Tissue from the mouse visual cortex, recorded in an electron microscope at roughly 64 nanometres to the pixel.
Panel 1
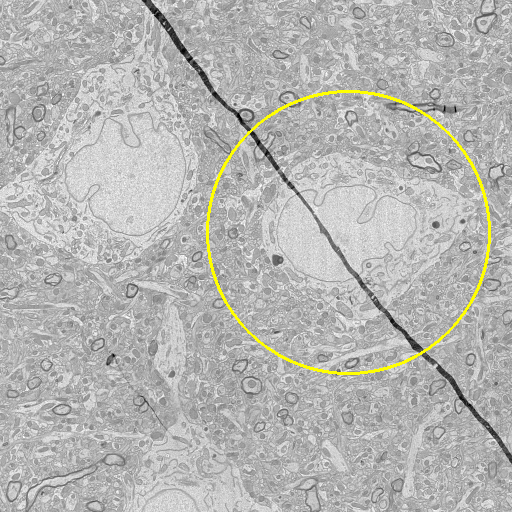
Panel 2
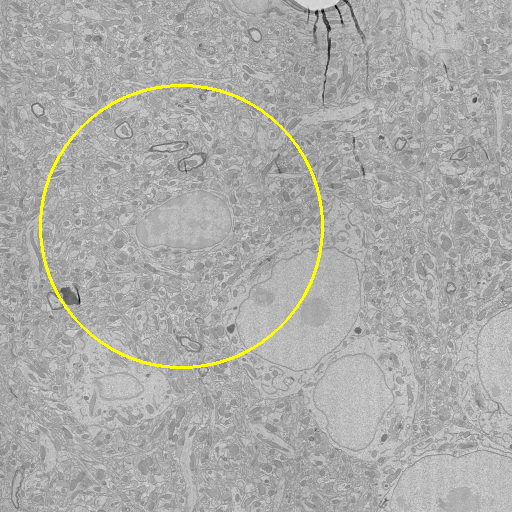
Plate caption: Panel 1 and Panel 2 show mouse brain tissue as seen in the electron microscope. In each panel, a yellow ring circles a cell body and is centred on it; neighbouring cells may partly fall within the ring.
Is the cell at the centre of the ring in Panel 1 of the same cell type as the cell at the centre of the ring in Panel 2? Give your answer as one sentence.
No, the two cells are of two types.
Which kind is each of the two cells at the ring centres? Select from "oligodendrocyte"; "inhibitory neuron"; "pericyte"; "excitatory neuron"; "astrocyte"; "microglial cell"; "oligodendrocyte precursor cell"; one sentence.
The cell at the centre of the ring is an excitatory neuron in the first picture and a microglial cell in the second.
